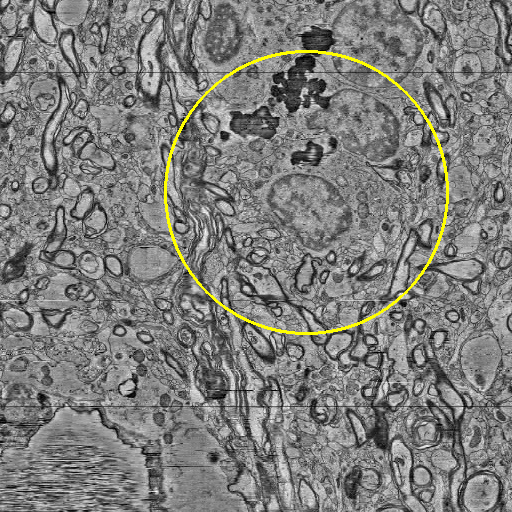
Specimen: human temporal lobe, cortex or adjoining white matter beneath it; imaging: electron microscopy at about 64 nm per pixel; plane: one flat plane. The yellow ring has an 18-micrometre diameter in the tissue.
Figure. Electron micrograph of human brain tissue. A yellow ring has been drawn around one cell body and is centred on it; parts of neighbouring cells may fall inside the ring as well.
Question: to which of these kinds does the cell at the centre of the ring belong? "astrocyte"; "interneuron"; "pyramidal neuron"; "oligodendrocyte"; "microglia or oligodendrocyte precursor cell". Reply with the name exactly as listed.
oligodendrocyte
